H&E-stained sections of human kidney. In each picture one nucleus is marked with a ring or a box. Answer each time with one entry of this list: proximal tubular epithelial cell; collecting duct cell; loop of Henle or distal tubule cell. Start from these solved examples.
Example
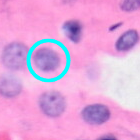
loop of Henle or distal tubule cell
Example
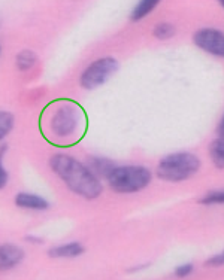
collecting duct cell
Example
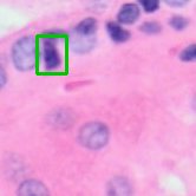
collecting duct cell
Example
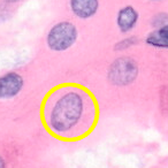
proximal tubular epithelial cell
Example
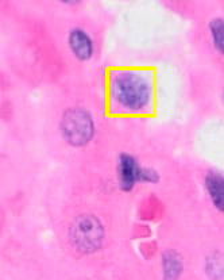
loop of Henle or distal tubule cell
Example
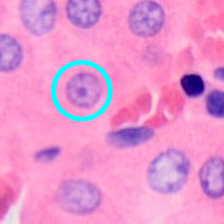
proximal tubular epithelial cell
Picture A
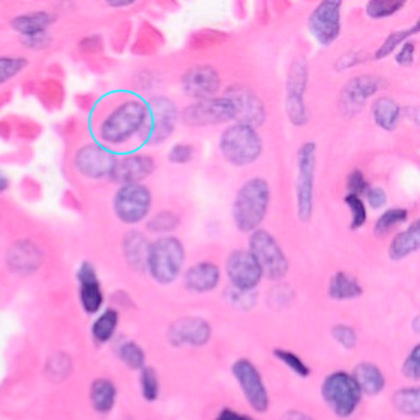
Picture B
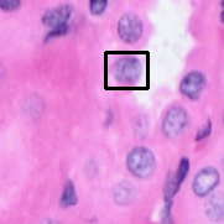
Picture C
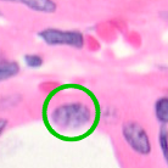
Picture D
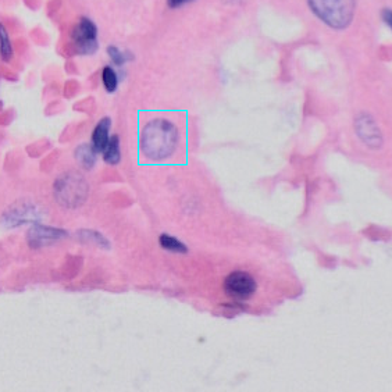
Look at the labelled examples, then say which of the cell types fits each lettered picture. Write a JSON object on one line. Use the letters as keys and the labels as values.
{"A": "collecting duct cell", "B": "loop of Henle or distal tubule cell", "C": "collecting duct cell", "D": "proximal tubular epithelial cell"}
